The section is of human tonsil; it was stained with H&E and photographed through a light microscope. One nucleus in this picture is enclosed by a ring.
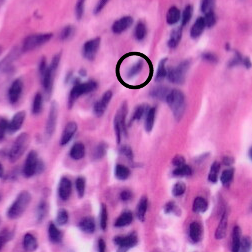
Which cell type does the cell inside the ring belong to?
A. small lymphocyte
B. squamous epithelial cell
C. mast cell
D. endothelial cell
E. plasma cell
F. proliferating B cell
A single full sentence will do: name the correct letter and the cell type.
In the section, the cell inside the ring is a mast cell, and option C is correct accordingly.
